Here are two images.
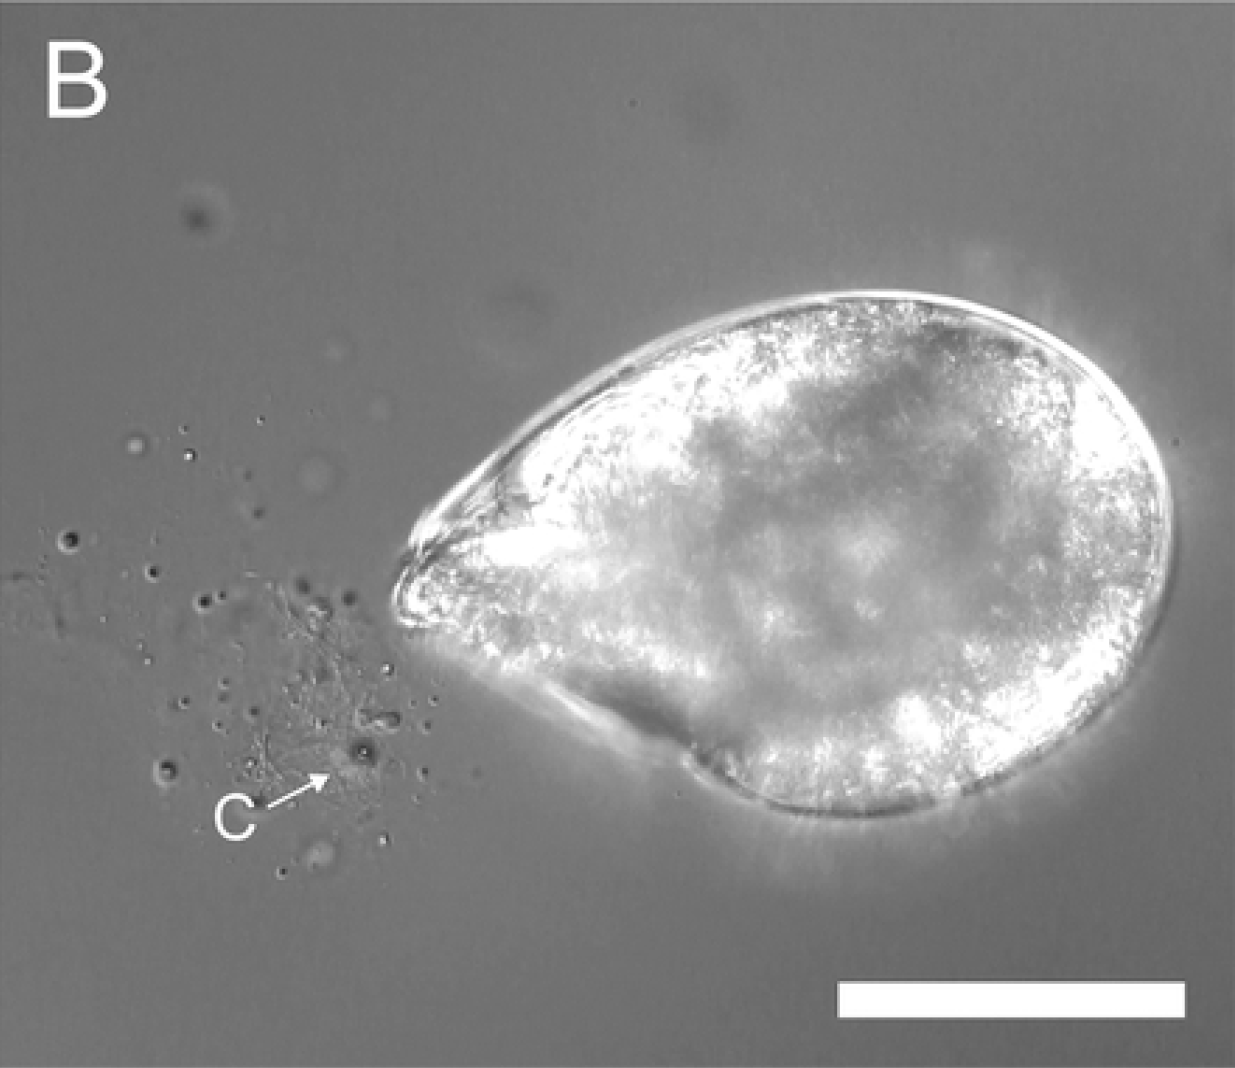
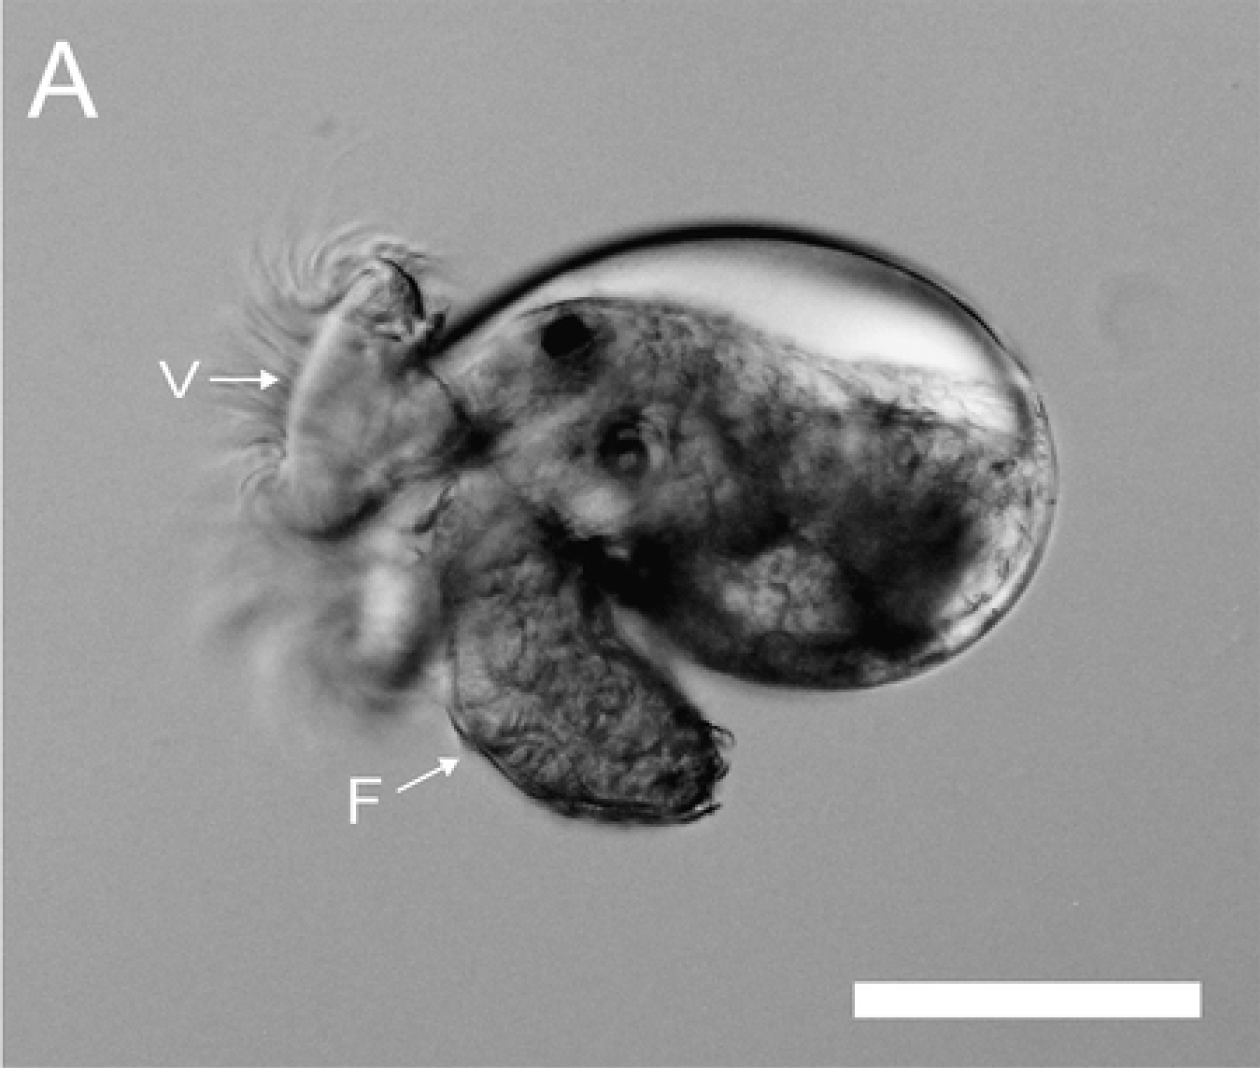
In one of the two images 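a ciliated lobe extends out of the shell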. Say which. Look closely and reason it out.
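First image: the body is withdrawn into the shell with no fringed lobe outside, only loose debris near the opening. Second image: a lobe fringed with long hair-like projections and a foot protrude from the shell.
The second image.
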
